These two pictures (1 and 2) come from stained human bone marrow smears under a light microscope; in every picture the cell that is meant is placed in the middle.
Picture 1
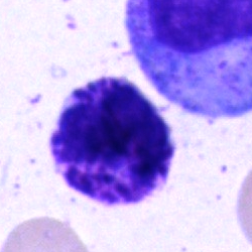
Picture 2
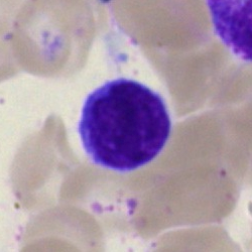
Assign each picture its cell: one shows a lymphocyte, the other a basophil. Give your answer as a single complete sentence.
Picture 1 shows a basophil and picture 2 shows a lymphocyte.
